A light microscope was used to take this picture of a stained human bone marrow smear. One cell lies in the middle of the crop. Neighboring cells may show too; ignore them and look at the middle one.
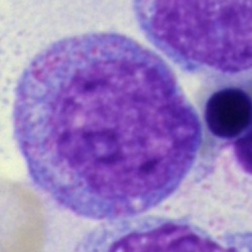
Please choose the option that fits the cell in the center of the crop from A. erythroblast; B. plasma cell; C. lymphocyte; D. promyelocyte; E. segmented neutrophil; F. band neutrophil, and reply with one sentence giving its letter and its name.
According to option D, which is correct, the cell in the middle is a promyelocyte.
